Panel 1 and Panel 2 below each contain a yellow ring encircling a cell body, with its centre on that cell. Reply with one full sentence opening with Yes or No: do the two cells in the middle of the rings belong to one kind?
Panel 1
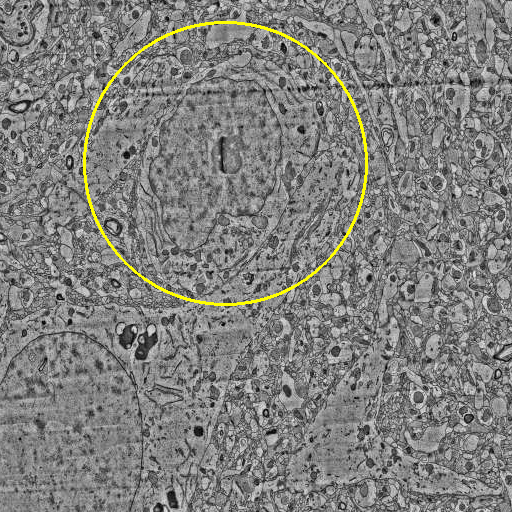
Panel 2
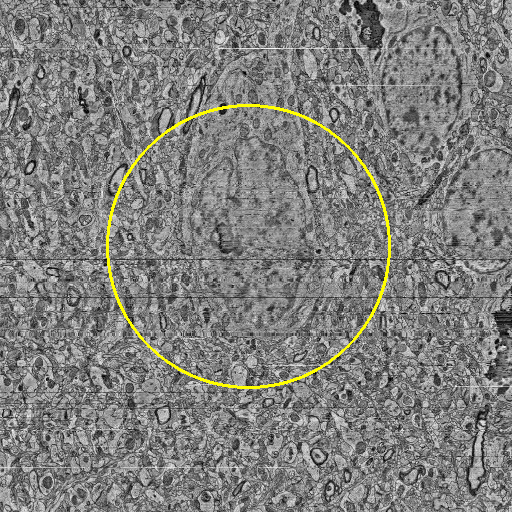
Yes, the cells at the middle of the Panel 1 ring and the Panel 2 ring are of one kind.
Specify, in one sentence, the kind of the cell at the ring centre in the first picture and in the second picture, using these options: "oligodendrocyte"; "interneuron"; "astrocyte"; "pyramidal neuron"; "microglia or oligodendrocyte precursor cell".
Each of the two cells is an interneuron.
